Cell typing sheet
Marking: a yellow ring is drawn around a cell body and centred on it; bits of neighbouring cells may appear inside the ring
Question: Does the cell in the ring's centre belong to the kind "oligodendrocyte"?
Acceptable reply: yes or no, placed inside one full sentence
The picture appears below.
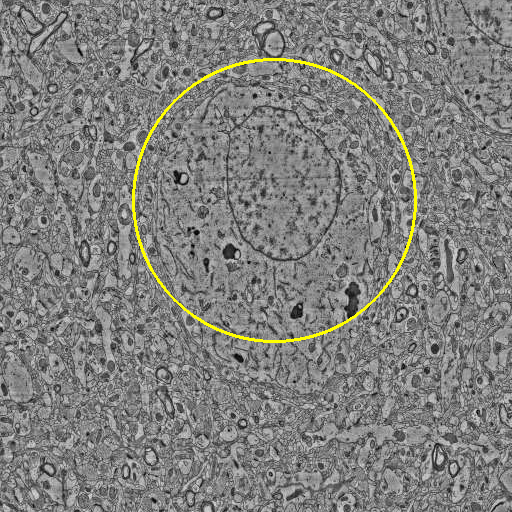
No, the cell at the centre of the ring belongs to a different kind.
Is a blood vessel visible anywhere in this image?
No, there is no blood vessel in the image.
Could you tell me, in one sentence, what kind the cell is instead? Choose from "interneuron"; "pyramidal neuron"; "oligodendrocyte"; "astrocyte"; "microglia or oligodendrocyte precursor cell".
The cell at the ring centre is a pyramidal neuron.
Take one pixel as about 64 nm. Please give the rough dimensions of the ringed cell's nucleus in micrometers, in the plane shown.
In this plane, roughly 10 by 8 micrometres.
